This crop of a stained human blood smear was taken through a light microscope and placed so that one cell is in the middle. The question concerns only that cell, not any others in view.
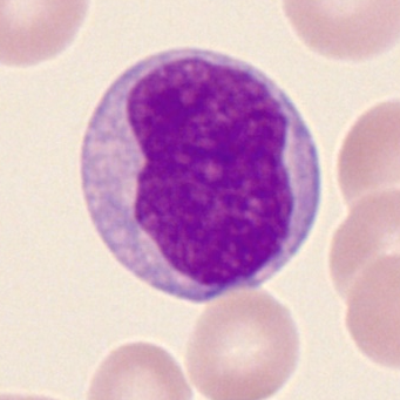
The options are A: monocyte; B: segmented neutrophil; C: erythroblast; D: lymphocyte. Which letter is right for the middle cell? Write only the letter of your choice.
A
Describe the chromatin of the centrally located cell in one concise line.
The chromatin of this one is coarsely clumped.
